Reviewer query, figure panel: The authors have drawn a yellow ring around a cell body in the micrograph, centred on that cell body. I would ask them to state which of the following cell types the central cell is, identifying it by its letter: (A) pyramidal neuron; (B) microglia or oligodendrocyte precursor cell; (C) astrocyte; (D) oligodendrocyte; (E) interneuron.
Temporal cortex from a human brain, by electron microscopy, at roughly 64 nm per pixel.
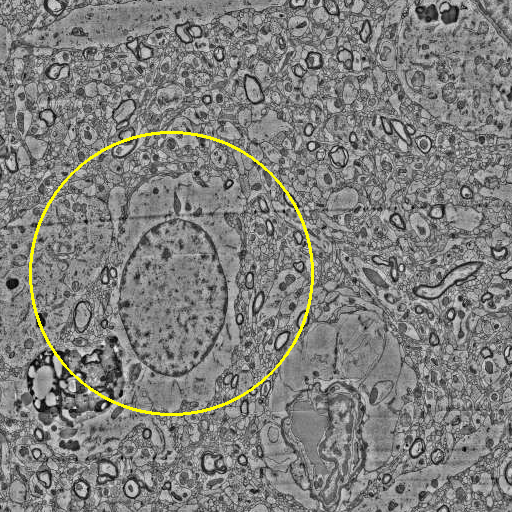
C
